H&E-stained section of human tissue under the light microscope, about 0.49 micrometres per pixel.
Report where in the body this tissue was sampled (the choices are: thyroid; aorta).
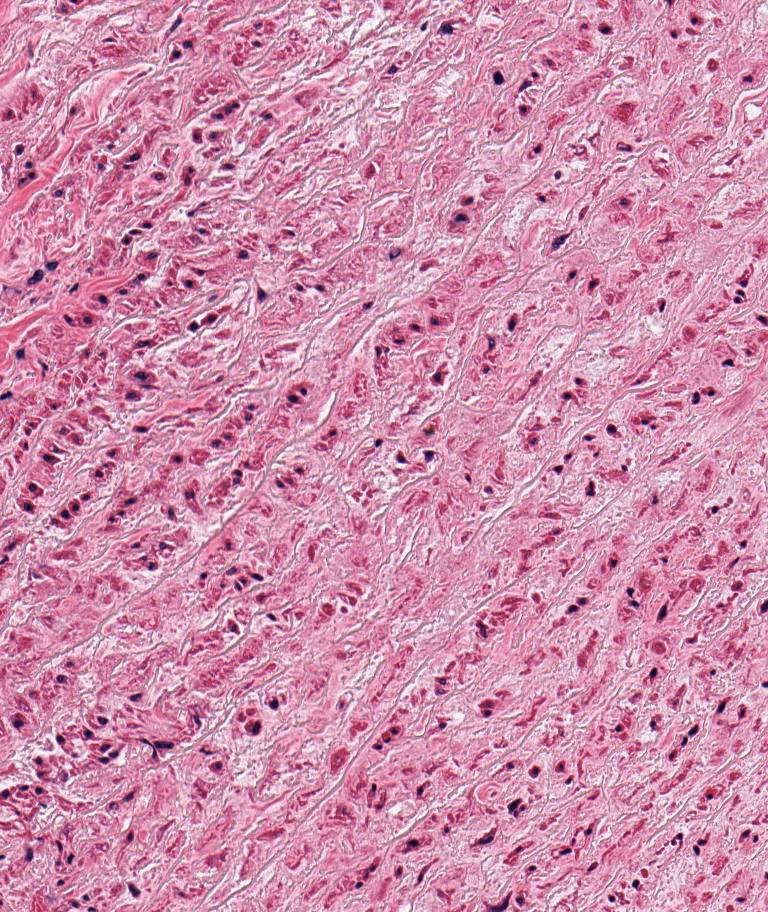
aorta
